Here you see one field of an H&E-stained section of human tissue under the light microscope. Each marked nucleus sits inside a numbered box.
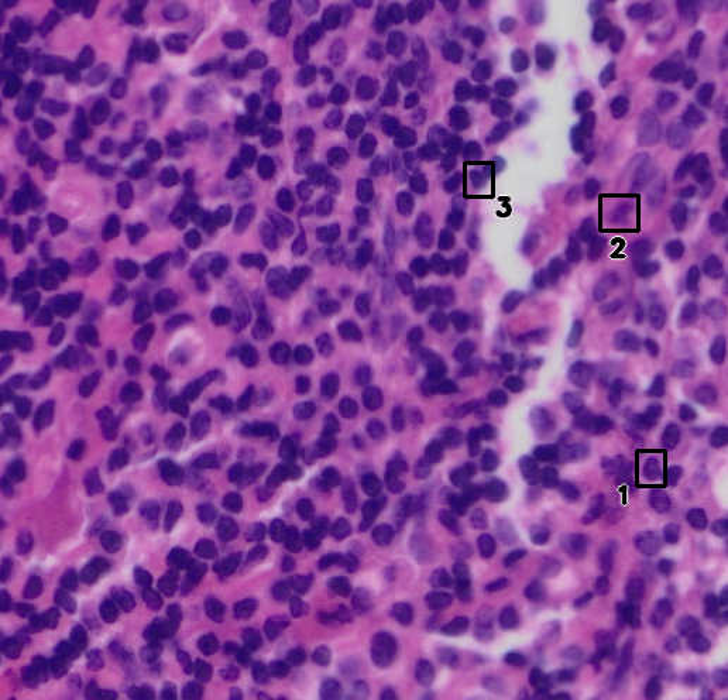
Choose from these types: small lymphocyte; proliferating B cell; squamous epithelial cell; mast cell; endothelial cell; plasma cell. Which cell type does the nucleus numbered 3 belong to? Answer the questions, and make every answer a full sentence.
Among the marked cells, number 3 is a small lymphocyte.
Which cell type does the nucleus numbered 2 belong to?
Recognised here as an endothelial cell is the cell numbered 2.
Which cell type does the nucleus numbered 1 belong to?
The numeral 1 marks a small lymphocyte in this section.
